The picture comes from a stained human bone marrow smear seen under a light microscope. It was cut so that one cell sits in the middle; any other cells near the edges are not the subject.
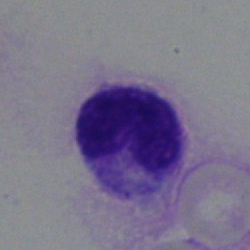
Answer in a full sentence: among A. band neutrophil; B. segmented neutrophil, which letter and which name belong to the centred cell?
Since the cell in the middle is a band neutrophil, option A is correct.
